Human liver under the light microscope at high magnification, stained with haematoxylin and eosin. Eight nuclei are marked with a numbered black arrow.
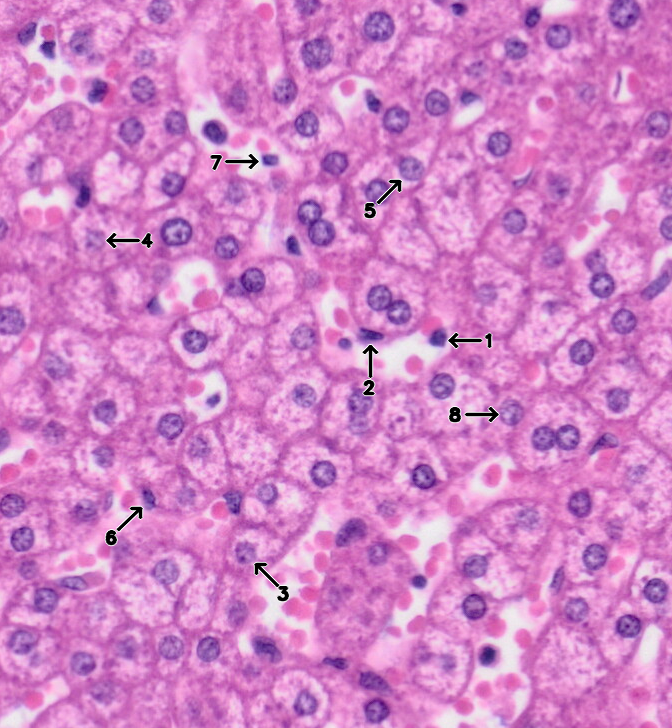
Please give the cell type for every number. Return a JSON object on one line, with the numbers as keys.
{"1": "lymphocyte", "2": "fibroblast or stellate cell", "3": "hepatocyte", "4": "hepatocyte", "5": "hepatocyte", "6": "fibroblast or stellate cell", "7": "lymphocyte", "8": "hepatocyte"}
